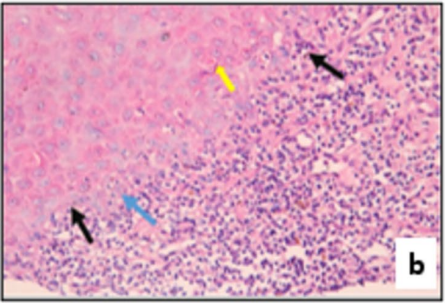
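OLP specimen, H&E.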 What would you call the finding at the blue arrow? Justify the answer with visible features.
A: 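Clear spaces lie at the lower border of the epithelium. The border is infiltrated by small dark cells. On this evidence: vacuoles in the basal cell layer.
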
